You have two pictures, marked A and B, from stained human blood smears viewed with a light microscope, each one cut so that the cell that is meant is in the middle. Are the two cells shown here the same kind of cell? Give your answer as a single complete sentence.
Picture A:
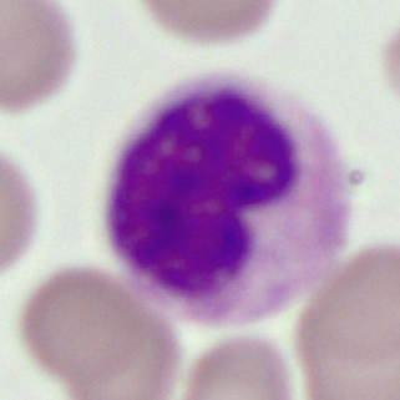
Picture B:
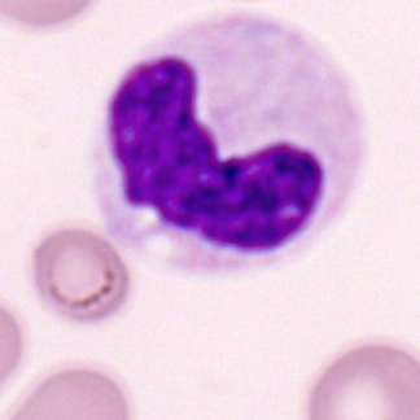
Yes, the two pictures both show band neutrophils.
